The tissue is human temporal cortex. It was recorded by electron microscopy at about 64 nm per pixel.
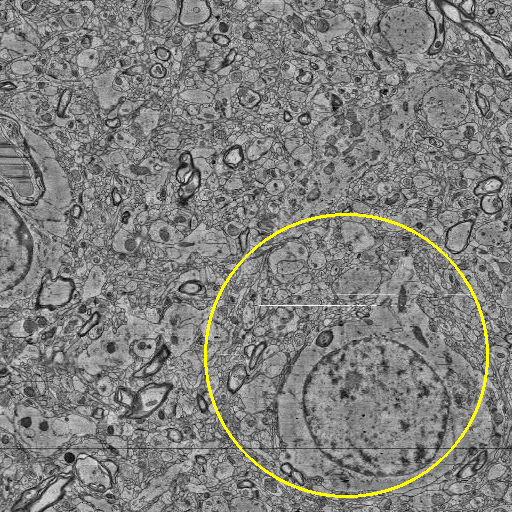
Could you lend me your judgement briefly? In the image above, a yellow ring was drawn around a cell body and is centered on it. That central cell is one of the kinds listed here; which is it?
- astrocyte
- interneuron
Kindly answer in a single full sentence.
Going by the list, an astrocyte is the kind at the ring's center in the picture.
